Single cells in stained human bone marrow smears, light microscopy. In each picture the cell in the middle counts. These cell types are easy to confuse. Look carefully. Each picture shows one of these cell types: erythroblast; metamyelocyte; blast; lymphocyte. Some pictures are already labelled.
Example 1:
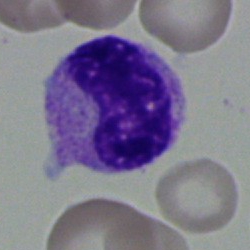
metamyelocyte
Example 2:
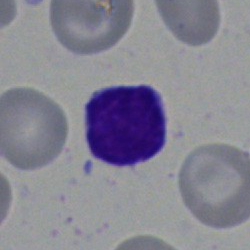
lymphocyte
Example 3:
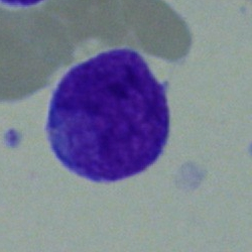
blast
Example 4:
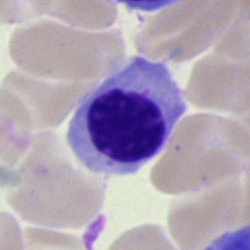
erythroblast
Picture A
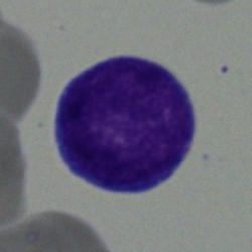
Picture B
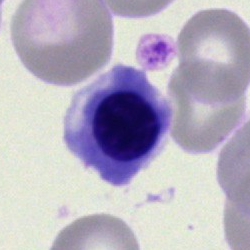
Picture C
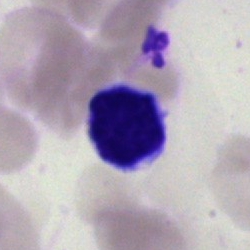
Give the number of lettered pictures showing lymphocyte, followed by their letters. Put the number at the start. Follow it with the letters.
1: C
